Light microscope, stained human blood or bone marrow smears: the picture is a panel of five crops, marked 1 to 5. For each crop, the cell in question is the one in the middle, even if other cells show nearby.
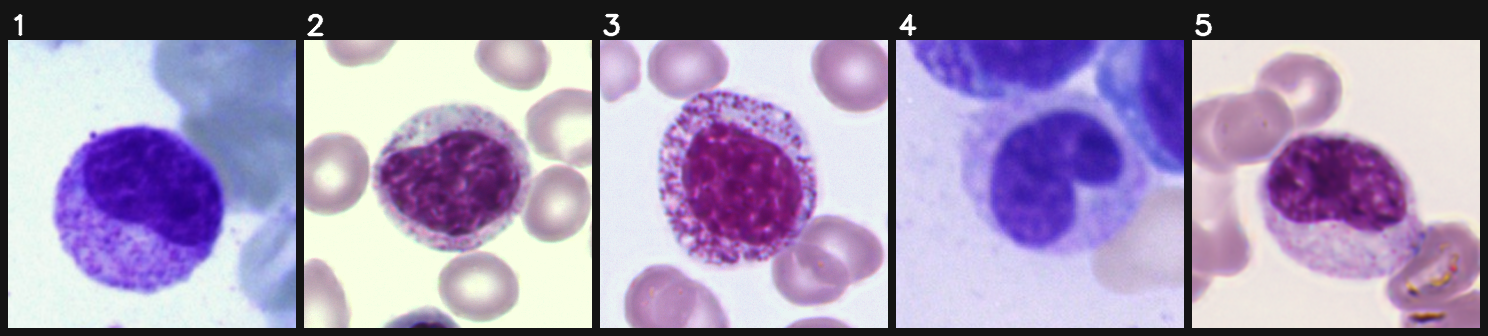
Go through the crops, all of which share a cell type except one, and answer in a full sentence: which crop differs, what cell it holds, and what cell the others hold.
Crop 3 breaks the pattern with a myelocyte; all the others show metamyelocytes.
